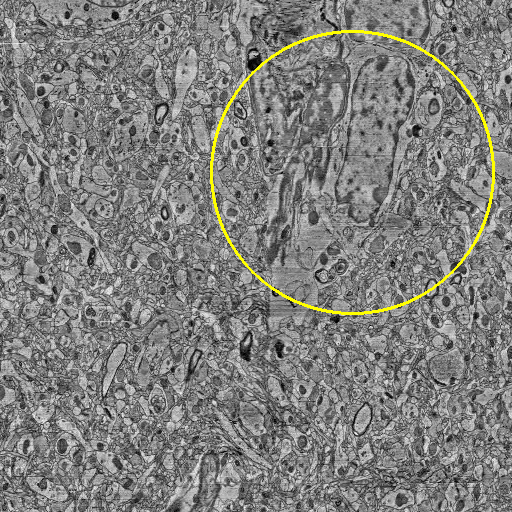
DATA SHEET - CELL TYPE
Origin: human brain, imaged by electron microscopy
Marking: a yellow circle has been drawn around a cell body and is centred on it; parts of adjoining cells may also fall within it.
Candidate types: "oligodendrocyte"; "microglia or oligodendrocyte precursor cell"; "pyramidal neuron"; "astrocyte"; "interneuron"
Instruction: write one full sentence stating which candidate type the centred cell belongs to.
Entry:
The cell body at the centre of the yellow ring in this micrograph belongs to a microglial cell or oligodendrocyte precursor cell.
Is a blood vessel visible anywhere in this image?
Yes.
